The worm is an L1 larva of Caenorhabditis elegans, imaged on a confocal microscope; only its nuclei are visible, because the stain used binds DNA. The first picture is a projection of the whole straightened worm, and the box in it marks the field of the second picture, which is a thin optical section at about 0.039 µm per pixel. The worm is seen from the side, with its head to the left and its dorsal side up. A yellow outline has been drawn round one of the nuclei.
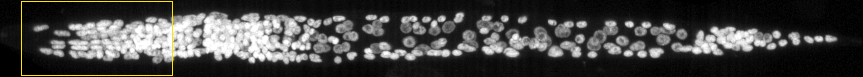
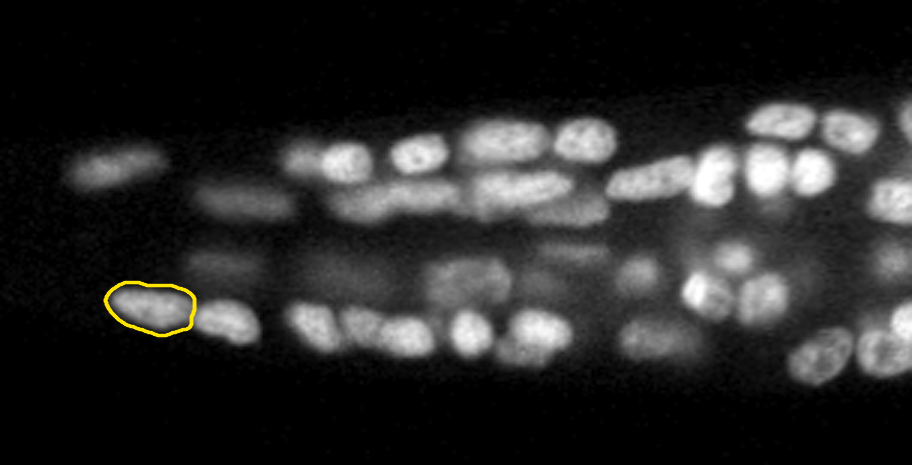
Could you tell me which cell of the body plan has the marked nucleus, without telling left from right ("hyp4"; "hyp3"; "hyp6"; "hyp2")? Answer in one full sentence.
It belongs to hyp4, a hypodermal cell (hyp).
